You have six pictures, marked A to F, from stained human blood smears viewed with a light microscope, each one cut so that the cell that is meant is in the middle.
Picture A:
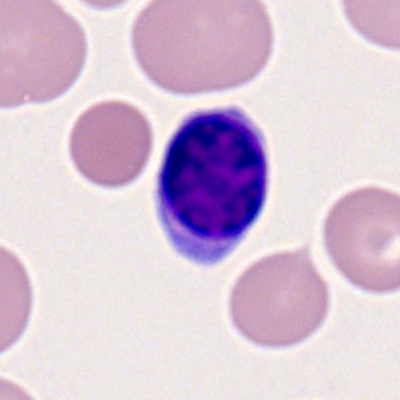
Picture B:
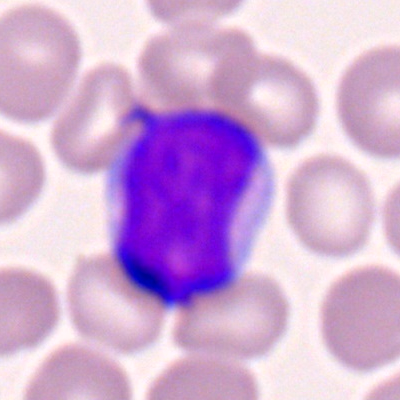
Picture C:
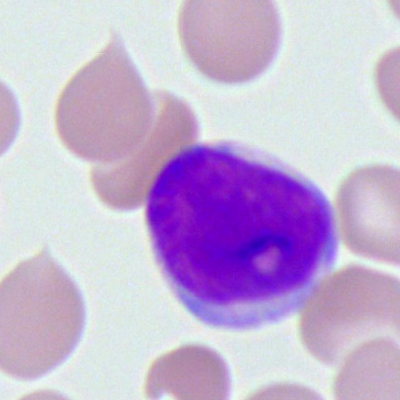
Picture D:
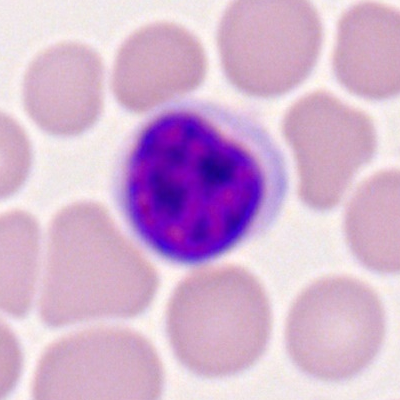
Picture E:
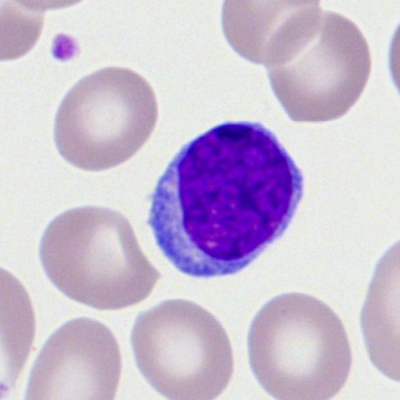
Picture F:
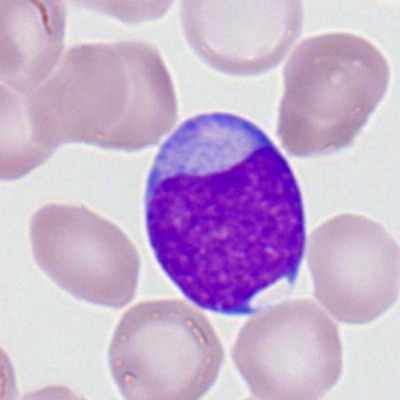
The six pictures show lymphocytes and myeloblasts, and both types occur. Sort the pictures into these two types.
A: lymphocyte
B: myeloblast
C: myeloblast
D: lymphocyte
E: lymphocyte
F: myeloblast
